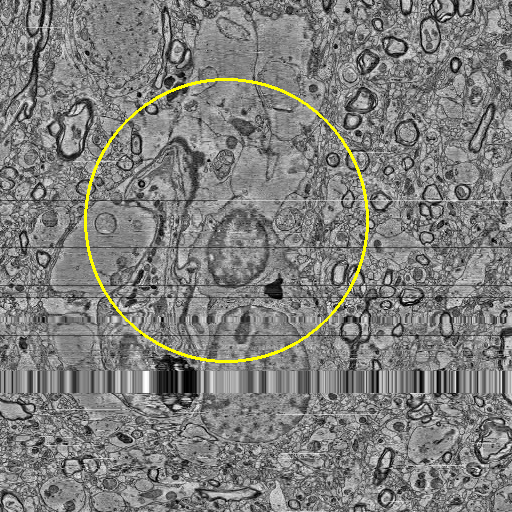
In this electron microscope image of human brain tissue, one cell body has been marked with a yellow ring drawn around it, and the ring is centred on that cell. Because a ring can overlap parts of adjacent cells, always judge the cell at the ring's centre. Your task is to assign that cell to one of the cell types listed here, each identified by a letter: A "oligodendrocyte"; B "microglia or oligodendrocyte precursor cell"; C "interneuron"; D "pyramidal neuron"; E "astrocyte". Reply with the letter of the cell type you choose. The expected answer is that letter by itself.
A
